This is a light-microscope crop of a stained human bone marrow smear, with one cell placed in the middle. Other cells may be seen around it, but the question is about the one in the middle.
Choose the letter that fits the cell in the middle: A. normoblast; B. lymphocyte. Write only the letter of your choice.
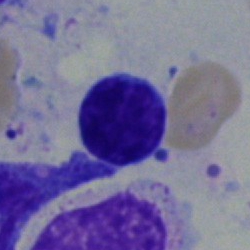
B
